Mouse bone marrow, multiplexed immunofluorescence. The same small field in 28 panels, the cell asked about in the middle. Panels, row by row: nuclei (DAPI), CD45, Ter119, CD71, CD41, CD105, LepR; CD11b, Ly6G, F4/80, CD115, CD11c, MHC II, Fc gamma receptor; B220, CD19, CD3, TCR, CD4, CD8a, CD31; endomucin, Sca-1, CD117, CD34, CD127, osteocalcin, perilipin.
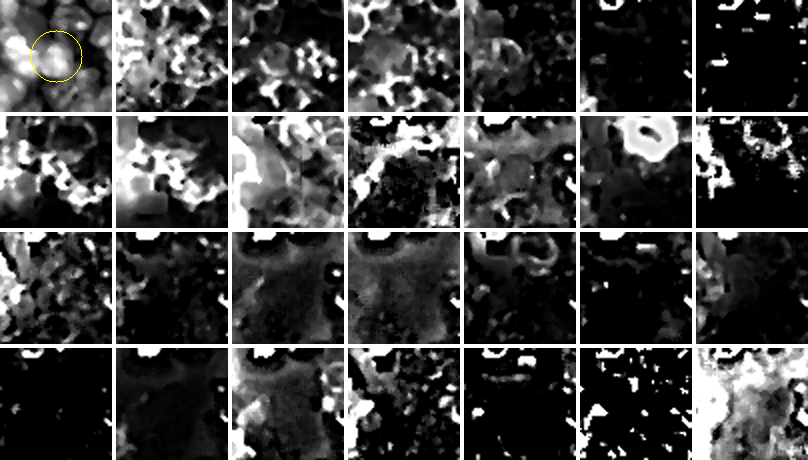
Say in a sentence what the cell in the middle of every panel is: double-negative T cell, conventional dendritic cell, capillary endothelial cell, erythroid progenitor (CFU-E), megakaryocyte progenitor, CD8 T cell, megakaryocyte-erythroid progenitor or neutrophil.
This is a conventional dendritic cell.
